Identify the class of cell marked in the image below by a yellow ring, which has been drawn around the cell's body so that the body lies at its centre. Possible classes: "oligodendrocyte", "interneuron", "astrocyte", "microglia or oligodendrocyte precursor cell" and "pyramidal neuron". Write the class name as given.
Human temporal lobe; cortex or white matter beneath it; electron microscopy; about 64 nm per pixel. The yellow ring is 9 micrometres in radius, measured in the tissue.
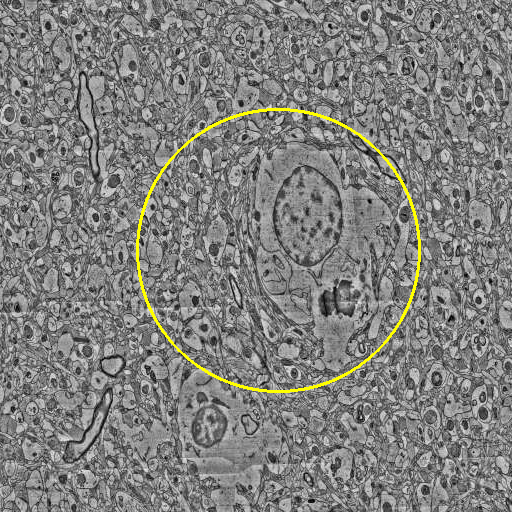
astrocyte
